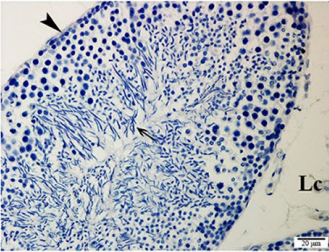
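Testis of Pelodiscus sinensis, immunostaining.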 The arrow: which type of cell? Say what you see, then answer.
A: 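Bundles of thin, elongated dark heads point toward the tubule centre. They lie in the inner part of the epithelium near the lumen.
Hence: spermatozoa.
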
